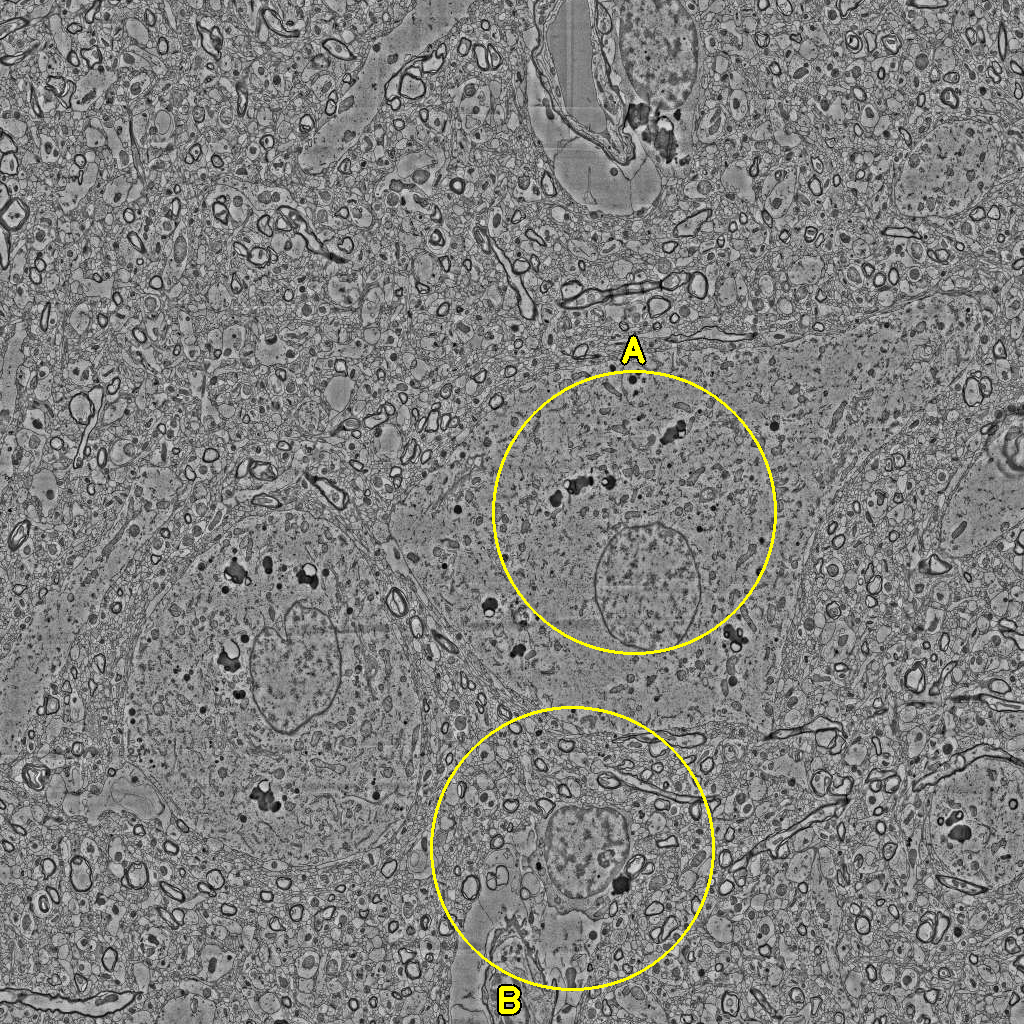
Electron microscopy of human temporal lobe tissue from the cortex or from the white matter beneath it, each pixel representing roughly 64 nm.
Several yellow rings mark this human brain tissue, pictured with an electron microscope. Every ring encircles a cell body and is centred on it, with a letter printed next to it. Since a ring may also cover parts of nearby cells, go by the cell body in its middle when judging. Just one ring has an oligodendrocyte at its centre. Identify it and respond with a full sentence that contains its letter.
The answer is ring B, whose centre rests on the cell asked for.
